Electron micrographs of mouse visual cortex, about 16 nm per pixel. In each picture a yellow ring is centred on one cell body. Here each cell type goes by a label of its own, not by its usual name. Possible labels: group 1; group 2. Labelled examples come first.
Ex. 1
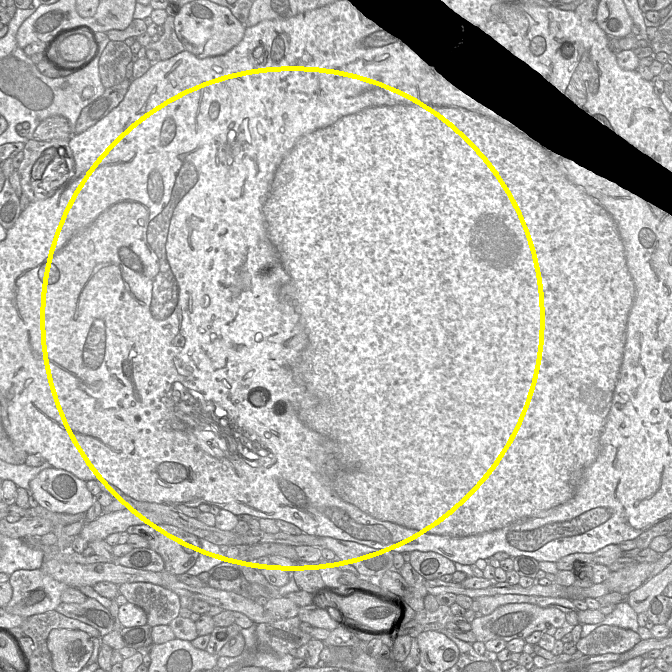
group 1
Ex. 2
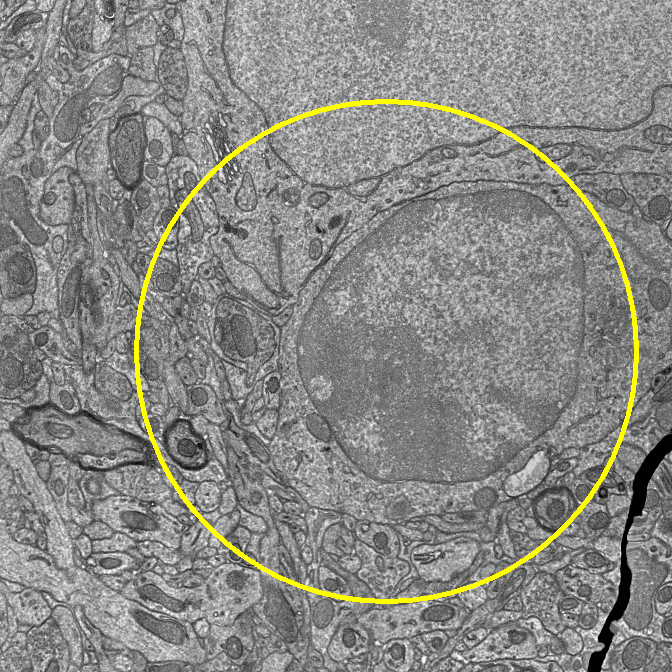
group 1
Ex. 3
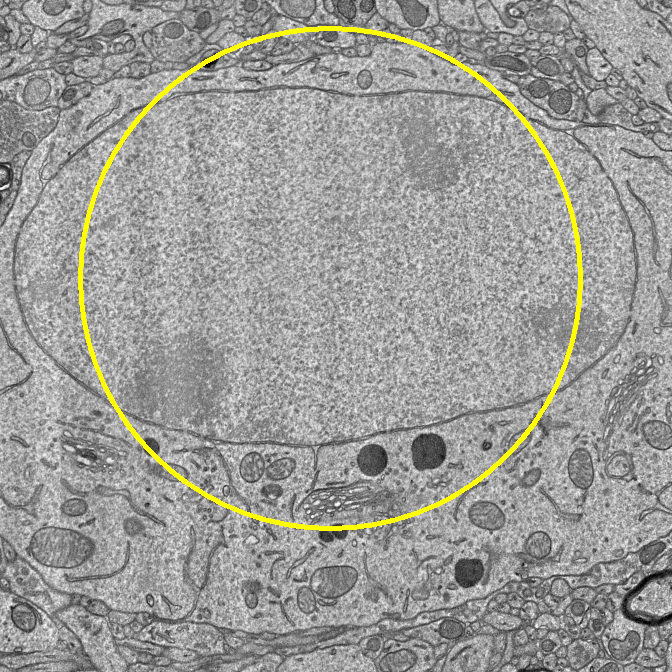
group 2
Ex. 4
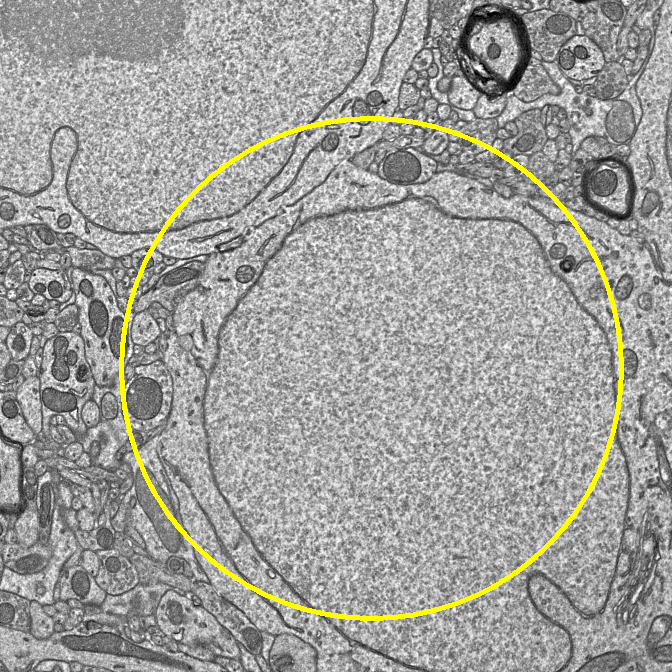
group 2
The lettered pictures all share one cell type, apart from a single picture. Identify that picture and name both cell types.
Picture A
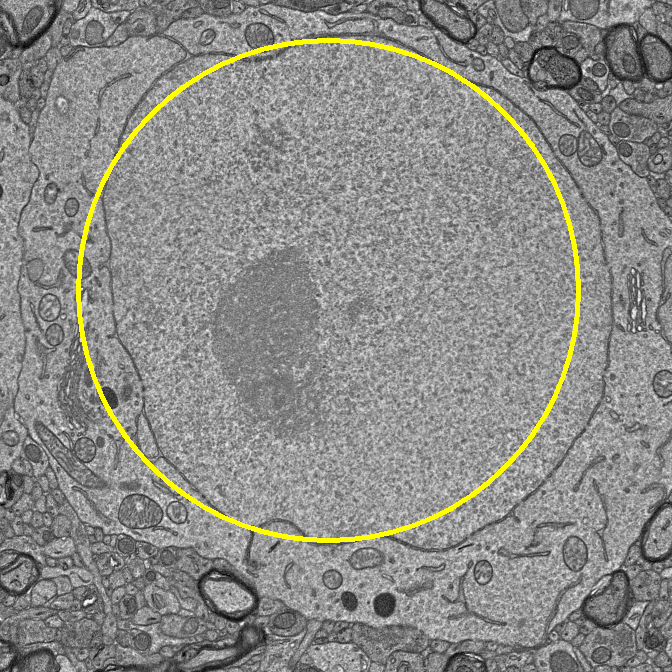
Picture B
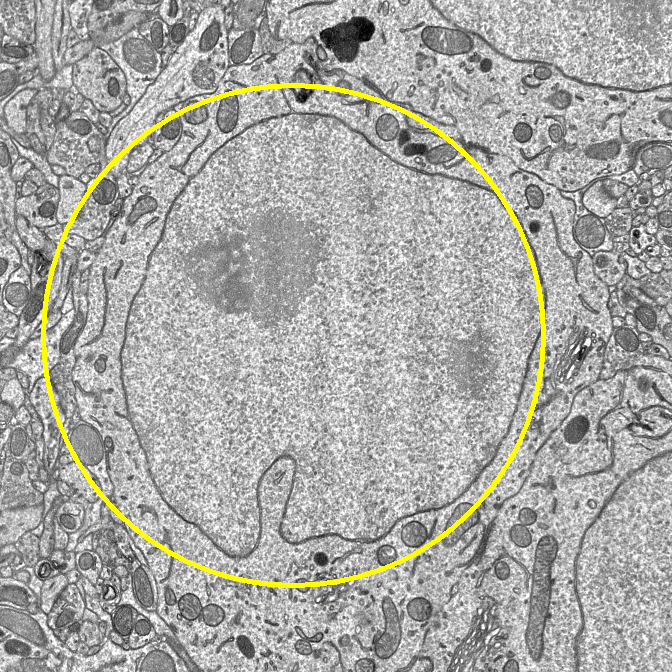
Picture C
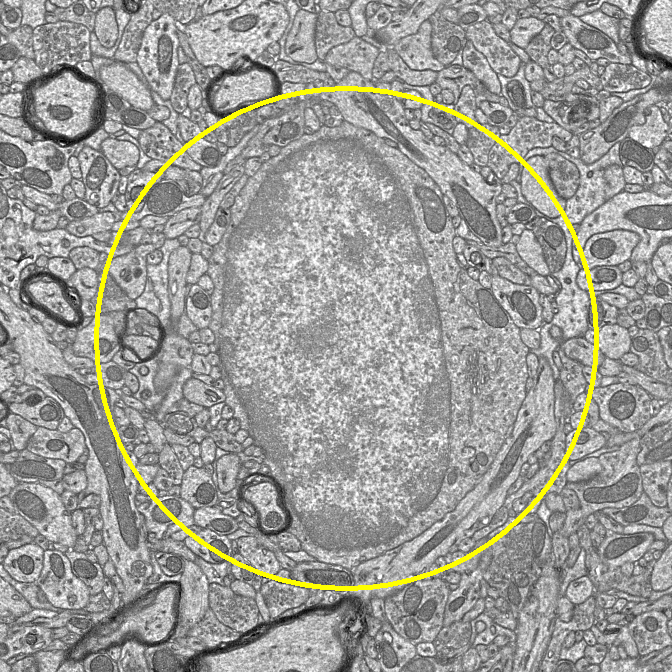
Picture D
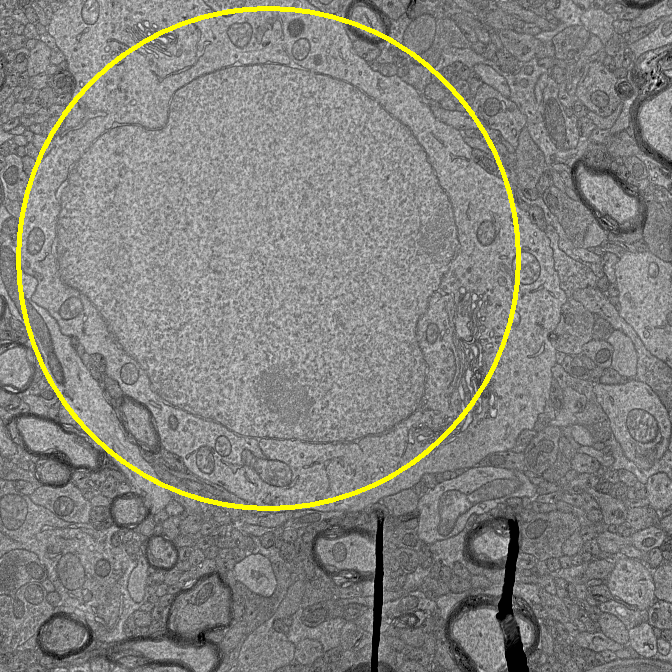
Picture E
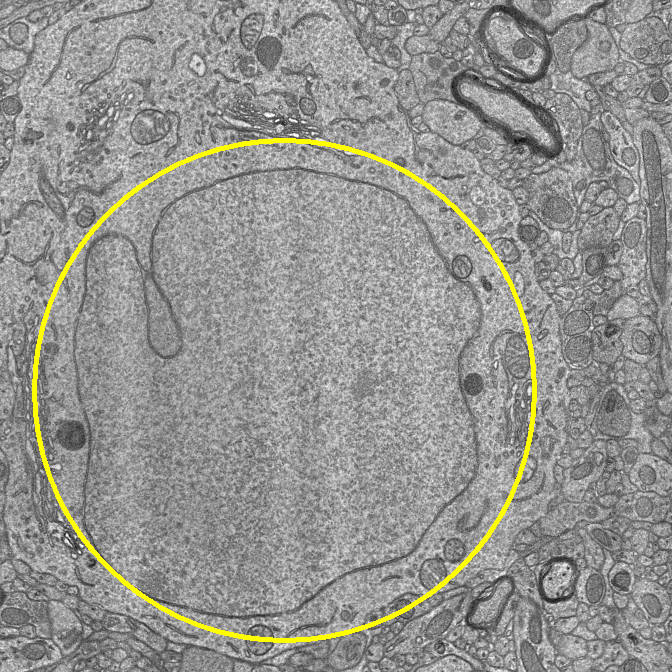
Odd one out: C (group 1). The rest: group 2.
